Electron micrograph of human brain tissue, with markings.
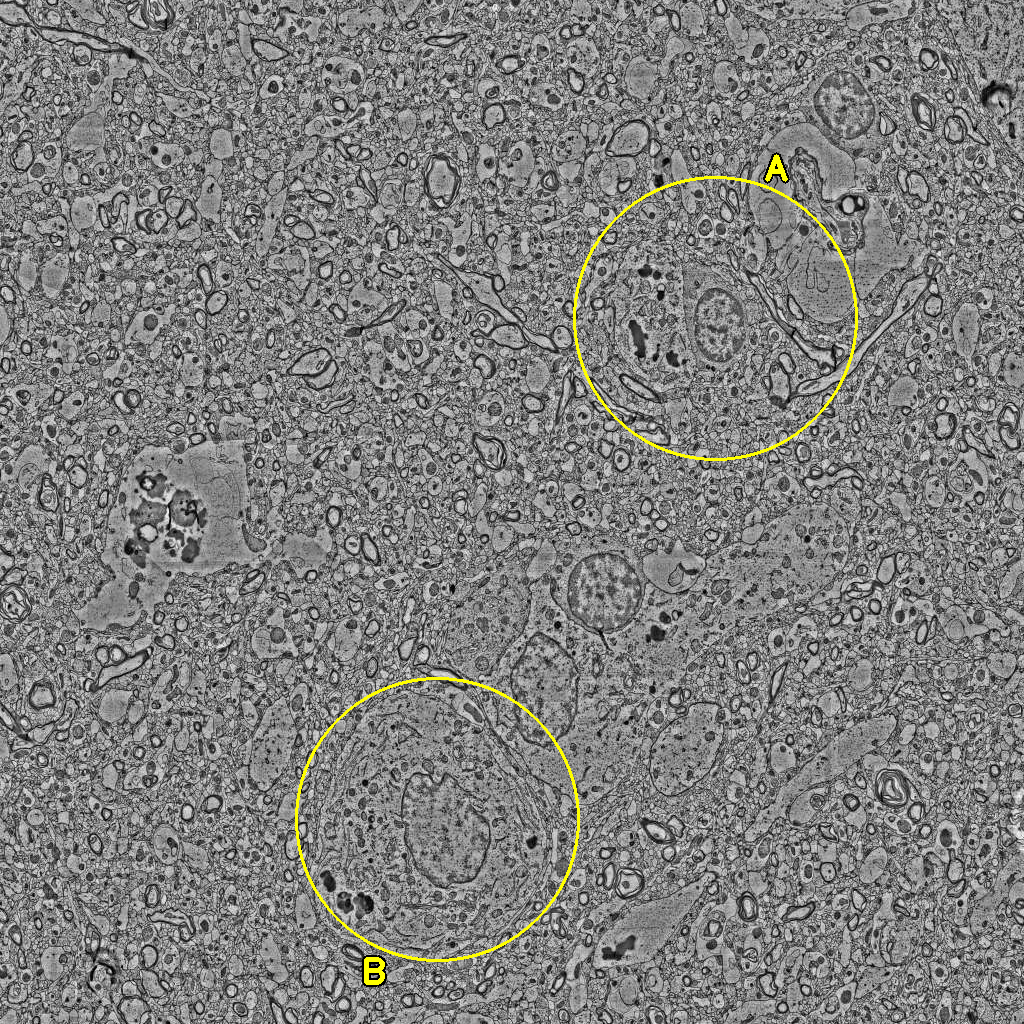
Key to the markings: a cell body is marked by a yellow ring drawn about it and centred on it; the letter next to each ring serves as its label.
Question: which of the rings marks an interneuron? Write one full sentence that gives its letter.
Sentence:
In this picture, the ring marking that kind of cell has the letter B.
